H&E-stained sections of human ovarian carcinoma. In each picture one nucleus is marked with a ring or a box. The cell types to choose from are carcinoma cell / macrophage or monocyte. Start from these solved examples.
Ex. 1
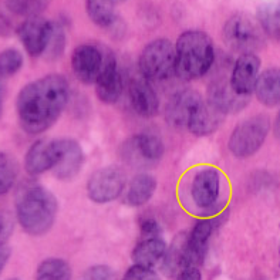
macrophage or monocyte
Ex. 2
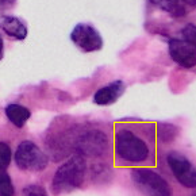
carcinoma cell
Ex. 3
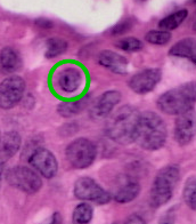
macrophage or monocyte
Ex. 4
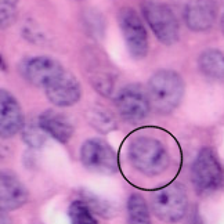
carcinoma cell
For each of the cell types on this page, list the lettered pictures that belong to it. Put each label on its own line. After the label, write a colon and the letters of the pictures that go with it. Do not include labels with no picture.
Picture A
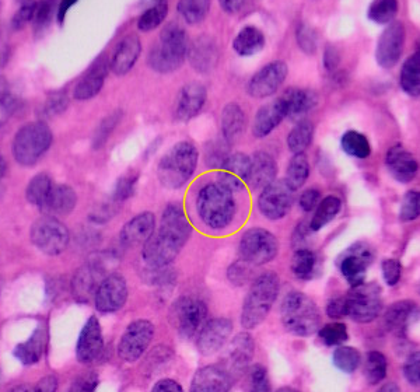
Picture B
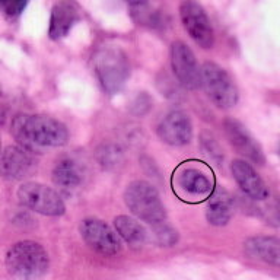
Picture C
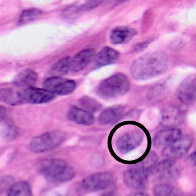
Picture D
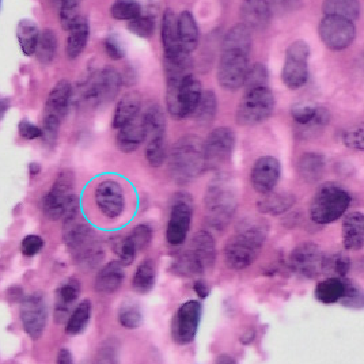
carcinoma cell: A
macrophage or monocyte: B, C, D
